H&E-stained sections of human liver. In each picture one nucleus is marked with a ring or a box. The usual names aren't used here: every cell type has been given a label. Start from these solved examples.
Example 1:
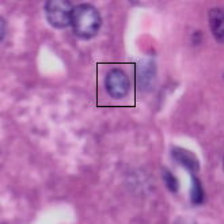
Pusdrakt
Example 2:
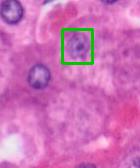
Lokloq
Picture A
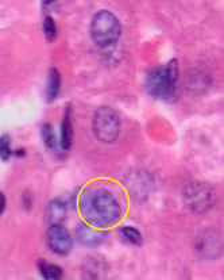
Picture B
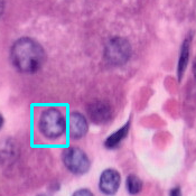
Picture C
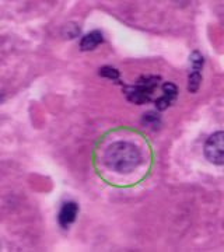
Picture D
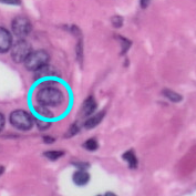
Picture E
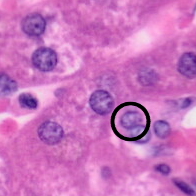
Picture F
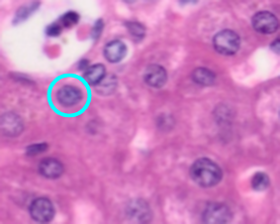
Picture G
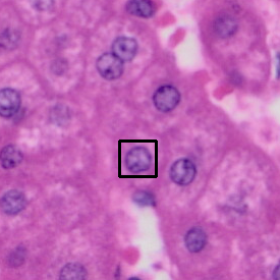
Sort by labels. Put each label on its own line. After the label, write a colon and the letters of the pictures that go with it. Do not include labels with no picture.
Pusdrakt: A, B, D, E, F
Lokloq: C, G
